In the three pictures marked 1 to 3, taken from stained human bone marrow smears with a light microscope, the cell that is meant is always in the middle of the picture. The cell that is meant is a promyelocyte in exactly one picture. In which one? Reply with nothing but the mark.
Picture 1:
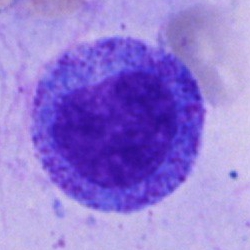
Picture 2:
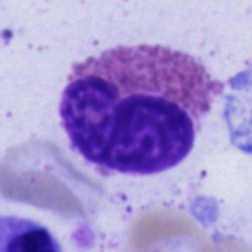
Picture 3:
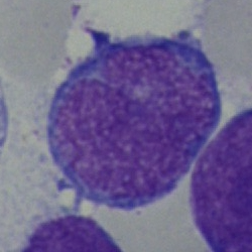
1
